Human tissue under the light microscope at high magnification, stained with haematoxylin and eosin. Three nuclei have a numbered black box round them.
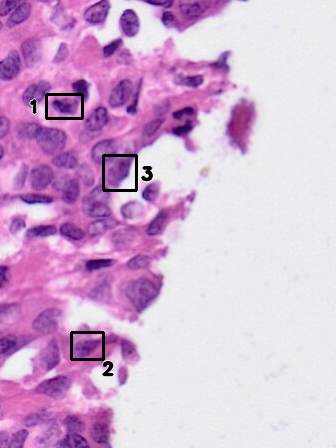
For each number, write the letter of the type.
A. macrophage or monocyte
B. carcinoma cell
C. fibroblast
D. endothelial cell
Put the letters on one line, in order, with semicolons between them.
A; B; B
